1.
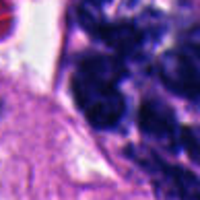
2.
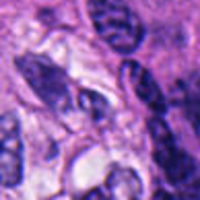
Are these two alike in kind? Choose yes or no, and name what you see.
No. First a syncytial knot, second a cytotrophoblast.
